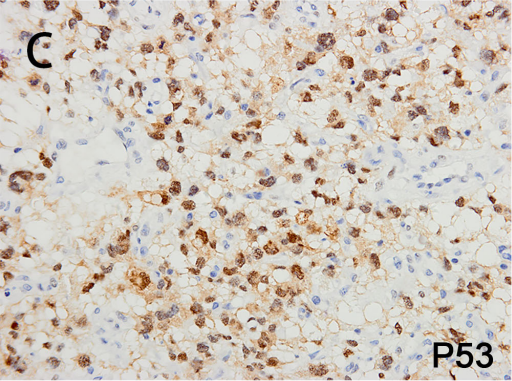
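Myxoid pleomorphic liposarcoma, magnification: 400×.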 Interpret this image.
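This is a tumour with loose, vacuolated cells, many of whose nuclei are stained brown. The brown-stained nuclei are enlarged and irregular and lie among clear, bubbly spaces. Scattered smaller blue, unstained nuclei lie between them, along with some faint brown staining of the cytoplasm.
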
